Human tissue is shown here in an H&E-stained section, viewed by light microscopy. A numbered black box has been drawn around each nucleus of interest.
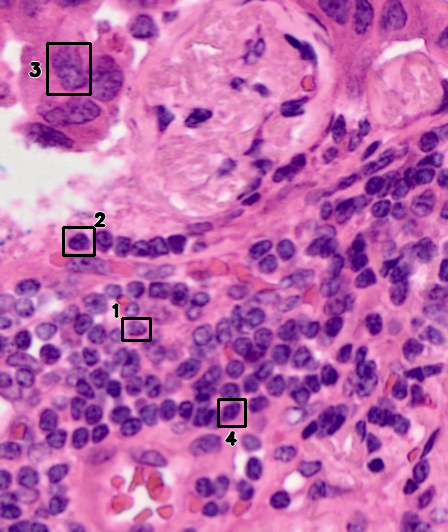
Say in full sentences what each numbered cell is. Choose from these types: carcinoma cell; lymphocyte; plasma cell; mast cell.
Cells 1, 2 and 4 are lymphocytes. Cell 3 is a carcinoma cell.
